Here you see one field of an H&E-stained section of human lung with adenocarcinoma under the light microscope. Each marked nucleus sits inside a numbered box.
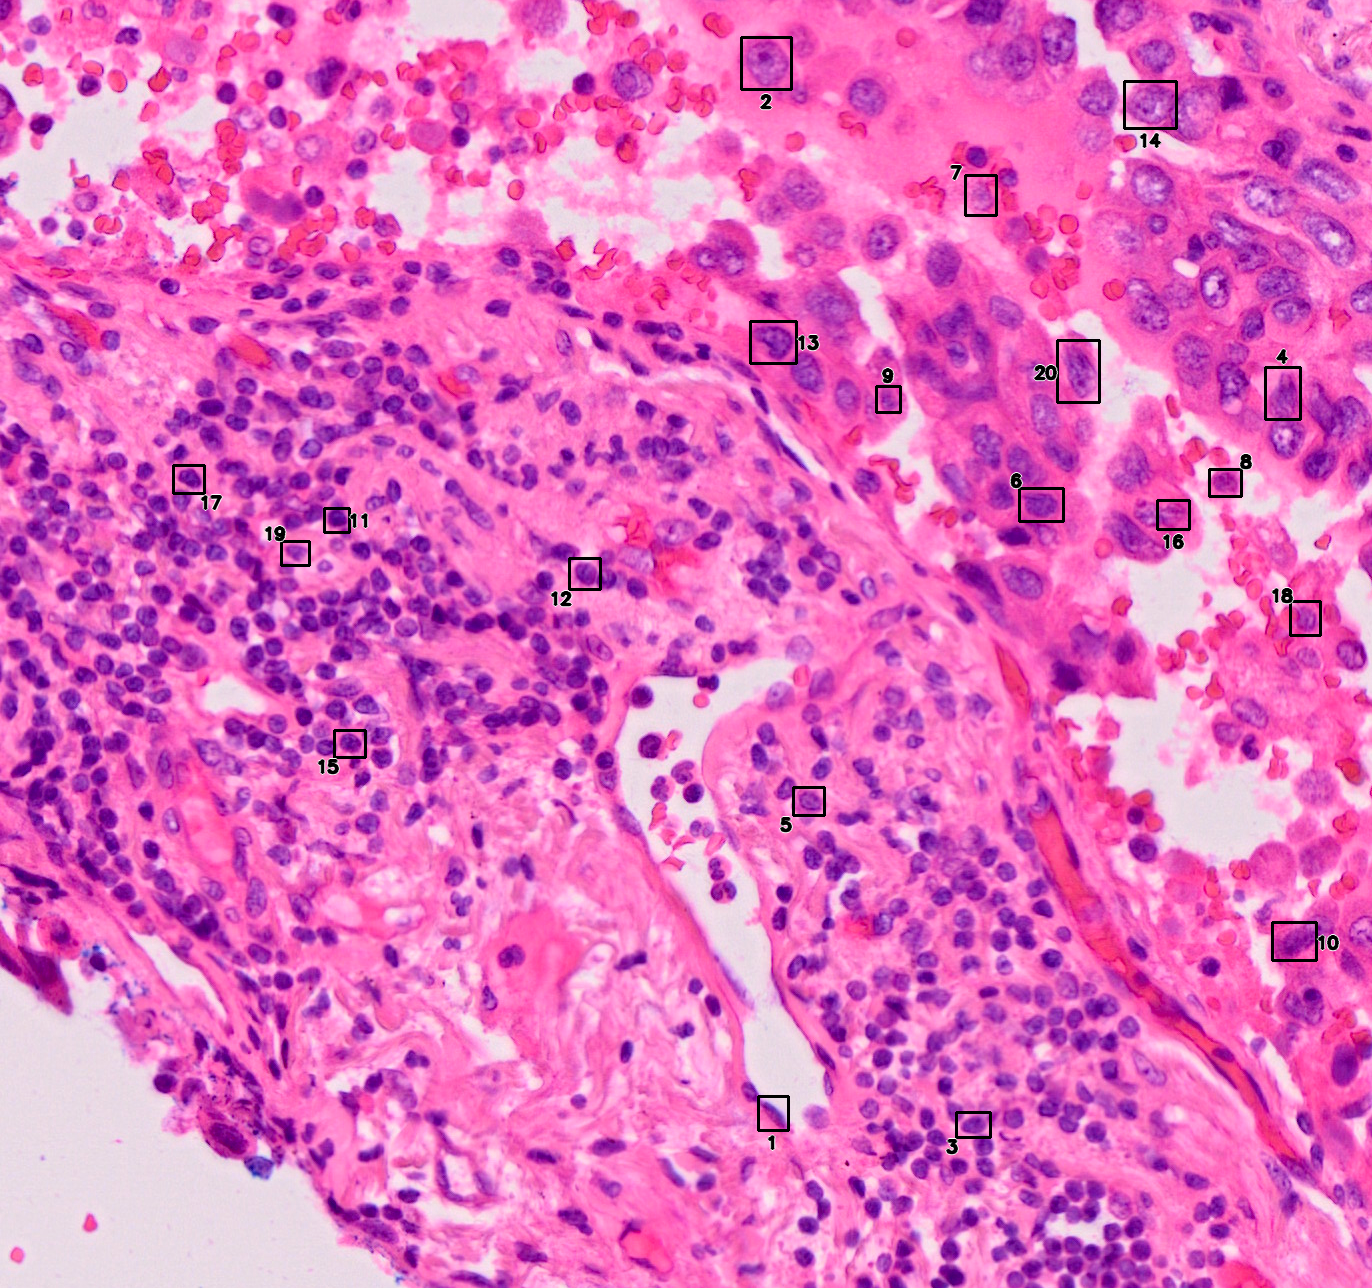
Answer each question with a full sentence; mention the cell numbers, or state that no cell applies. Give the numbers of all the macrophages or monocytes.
The numbers 7, 8 and 18 mark cells that are macrophages or monocytes.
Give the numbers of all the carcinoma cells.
The cells numbered 2, 4, 6, 9, 10, 13, 14, 16 and 20 are of the kind known as carcinoma cells.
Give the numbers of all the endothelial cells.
Being an endothelial cell is true of cell 1 and of no other numbered cell.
